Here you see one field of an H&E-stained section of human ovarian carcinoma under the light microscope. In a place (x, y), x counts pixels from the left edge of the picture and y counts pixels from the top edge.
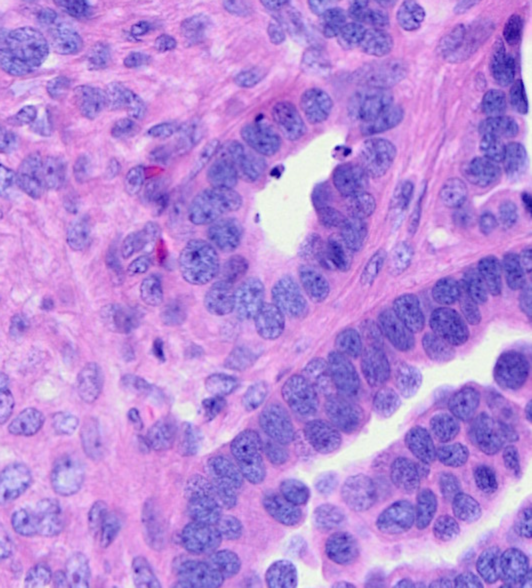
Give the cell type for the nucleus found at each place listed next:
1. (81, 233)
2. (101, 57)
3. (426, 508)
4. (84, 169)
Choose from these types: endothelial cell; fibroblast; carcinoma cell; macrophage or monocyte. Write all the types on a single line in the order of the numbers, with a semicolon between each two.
fibroblast; fibroblast; carcinoma cell; fibroblast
